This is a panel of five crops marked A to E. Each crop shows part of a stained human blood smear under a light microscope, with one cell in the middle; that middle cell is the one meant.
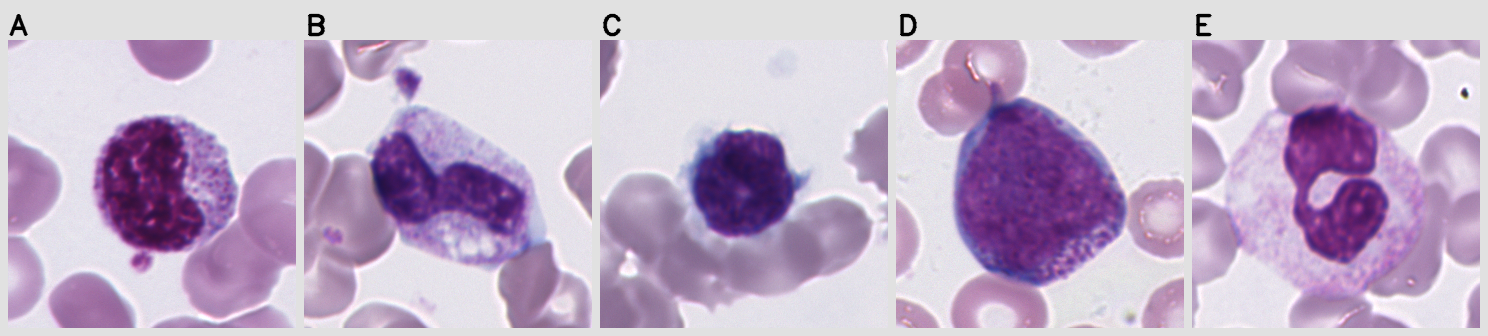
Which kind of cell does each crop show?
A: metamyelocyte
B: band neutrophil
C: hairy cell
D: promyelocyte
E: segmented neutrophil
